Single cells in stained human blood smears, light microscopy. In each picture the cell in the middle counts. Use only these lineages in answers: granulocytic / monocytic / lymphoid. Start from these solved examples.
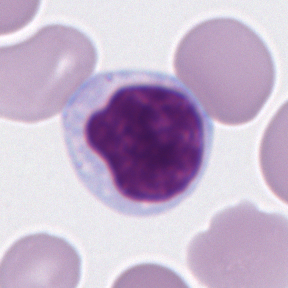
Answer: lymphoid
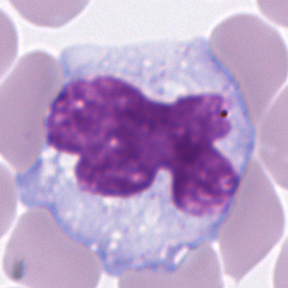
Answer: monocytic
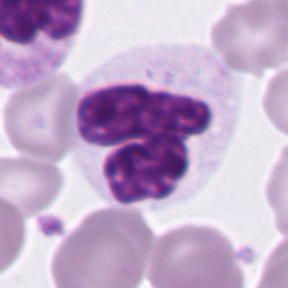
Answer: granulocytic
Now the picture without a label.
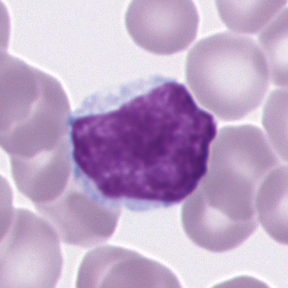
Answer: lymphoid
